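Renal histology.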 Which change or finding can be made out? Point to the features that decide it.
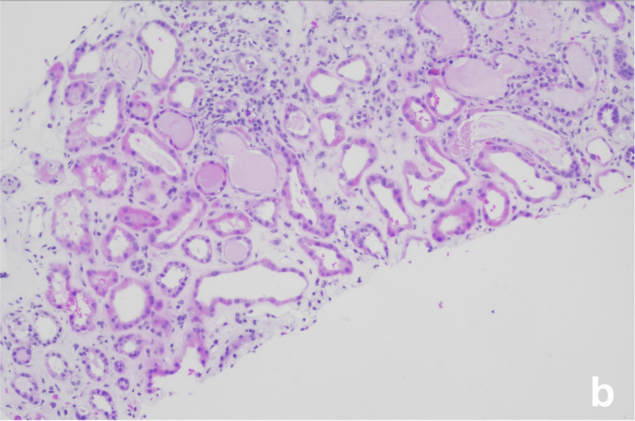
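Acute tubular injury. Many tubules are dilated with flattened epithelium. Several tubular lumens contain pink casts or debris.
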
